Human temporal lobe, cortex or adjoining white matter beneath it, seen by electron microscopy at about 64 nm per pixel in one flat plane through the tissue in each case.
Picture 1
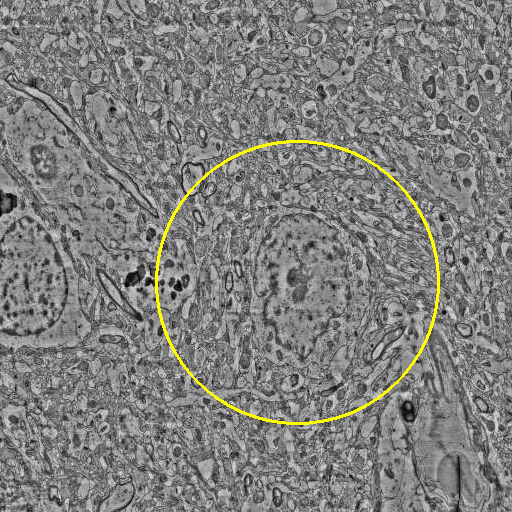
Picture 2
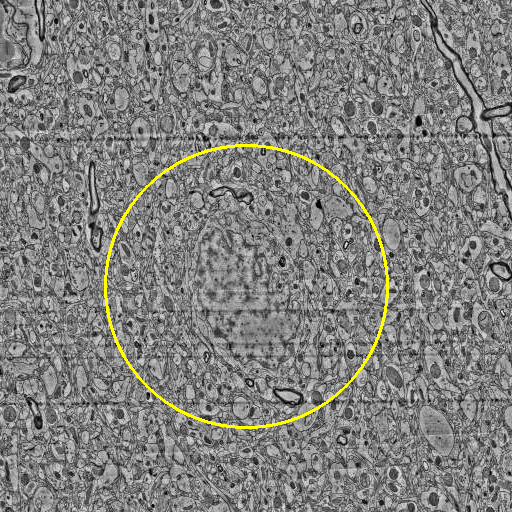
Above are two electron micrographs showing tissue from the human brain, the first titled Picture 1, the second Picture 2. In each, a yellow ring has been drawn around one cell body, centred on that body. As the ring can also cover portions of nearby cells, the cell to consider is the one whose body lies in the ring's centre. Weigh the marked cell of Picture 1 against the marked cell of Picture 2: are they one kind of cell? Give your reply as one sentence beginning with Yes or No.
Yes, the two cells sitting at the ring centres in the pictures are of one kind.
